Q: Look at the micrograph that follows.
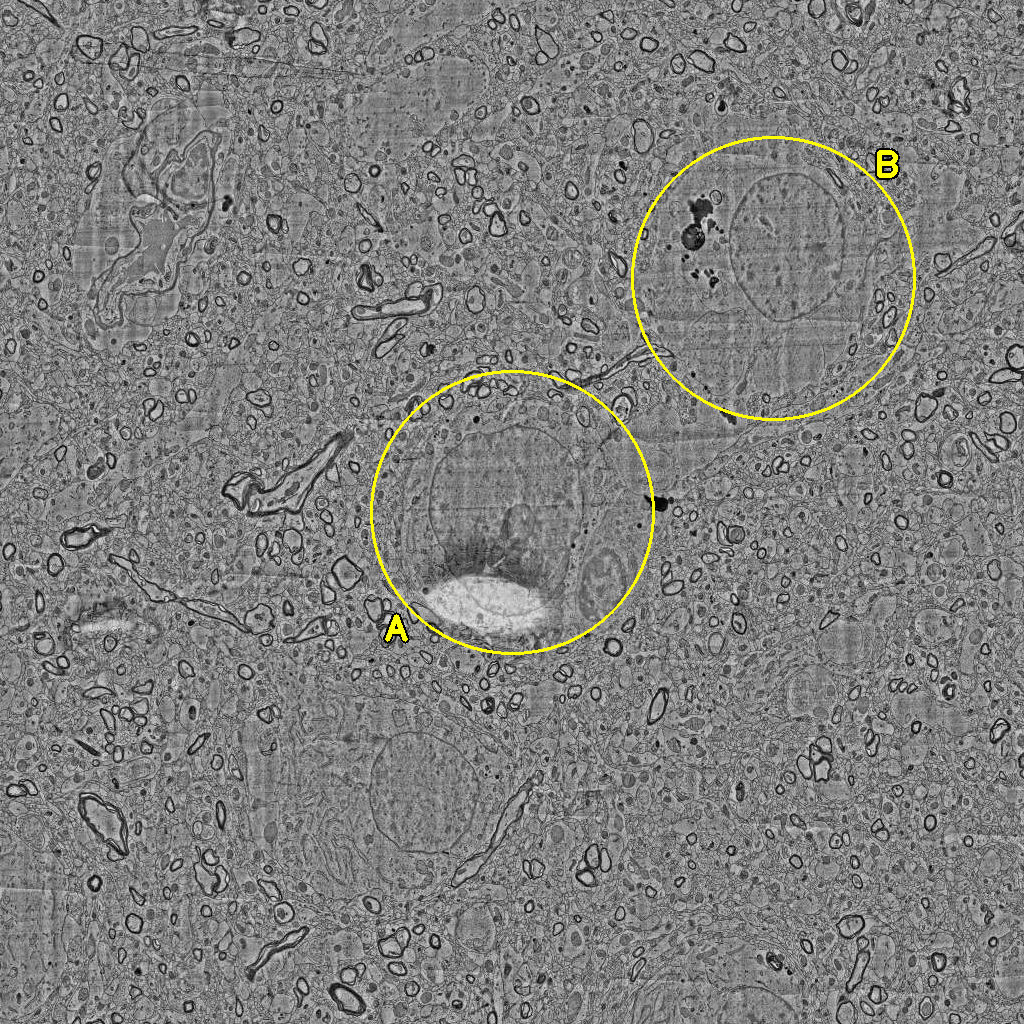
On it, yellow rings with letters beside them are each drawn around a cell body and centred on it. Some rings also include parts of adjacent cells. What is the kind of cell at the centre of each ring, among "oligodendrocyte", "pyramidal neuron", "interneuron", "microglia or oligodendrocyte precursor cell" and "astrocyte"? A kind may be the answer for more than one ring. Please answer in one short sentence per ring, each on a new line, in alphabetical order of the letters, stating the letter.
Ring A surrounds the cell body of a pyramidal neuron.
Ring B surrounds the cell body of an astrocyte.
